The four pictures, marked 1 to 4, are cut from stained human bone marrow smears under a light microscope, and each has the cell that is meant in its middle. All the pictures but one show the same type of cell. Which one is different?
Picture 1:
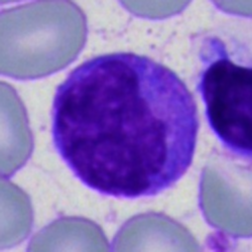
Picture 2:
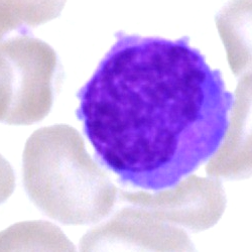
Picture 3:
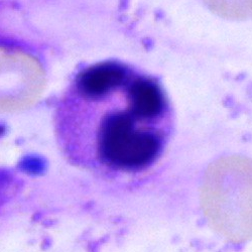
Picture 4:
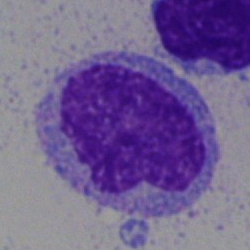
3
